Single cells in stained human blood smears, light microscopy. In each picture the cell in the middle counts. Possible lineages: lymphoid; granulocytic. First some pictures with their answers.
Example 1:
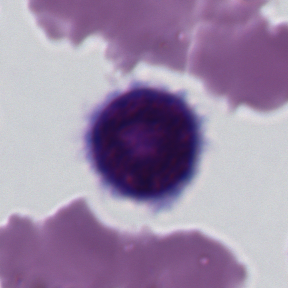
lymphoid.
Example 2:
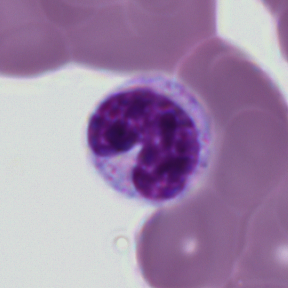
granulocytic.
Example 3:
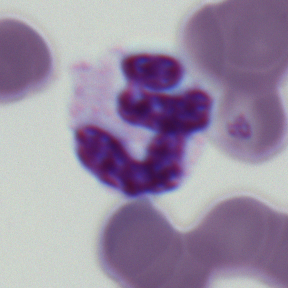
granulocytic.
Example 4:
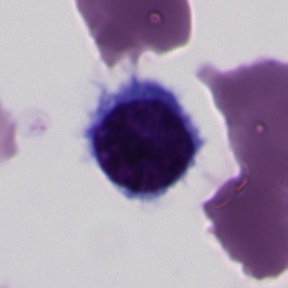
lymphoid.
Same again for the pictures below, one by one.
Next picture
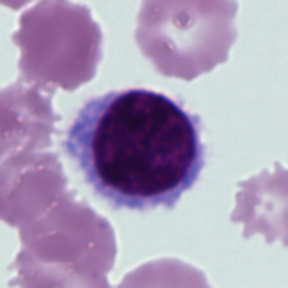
lymphoid.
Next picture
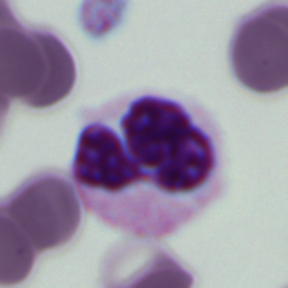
granulocytic.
